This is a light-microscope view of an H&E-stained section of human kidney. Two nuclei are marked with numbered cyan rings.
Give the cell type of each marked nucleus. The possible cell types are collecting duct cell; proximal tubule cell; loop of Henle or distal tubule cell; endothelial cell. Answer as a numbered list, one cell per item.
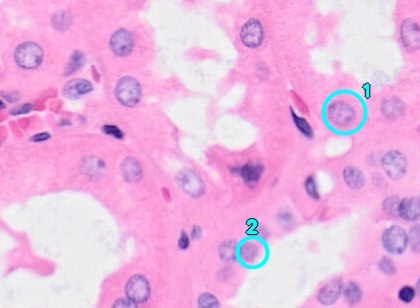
1. proximal tubule cell
2. collecting duct cell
